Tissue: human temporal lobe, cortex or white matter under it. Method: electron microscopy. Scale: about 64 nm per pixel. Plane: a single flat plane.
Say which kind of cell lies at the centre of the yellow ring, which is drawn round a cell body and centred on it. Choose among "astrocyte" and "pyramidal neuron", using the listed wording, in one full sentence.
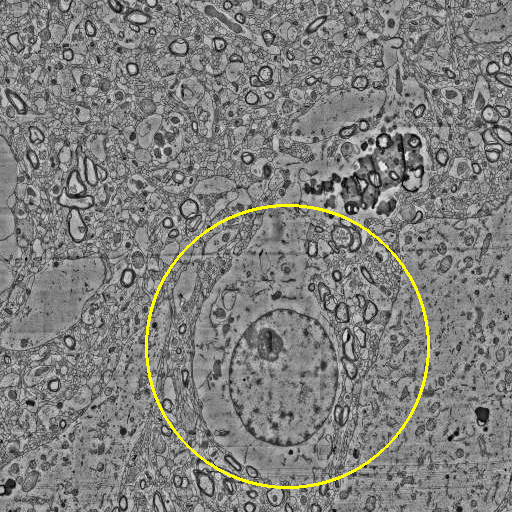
Going by the list, the cell at the yellow ring's centre is an astrocyte.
